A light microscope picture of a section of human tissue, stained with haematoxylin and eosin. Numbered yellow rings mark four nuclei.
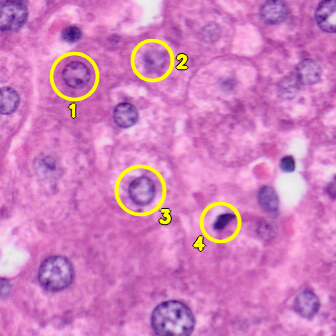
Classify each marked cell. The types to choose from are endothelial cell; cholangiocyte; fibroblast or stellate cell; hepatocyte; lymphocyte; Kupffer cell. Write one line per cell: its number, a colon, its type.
1: hepatocyte
2: hepatocyte
3: hepatocyte
4: endothelial cell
